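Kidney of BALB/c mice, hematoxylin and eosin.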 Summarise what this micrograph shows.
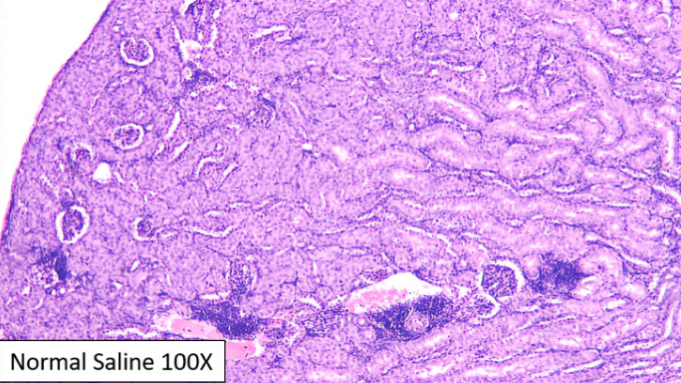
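Renal cortex with glomeruli and closely packed tubules, stained pink with purple nuclei. Several dense, dark purple aggregates of small round nuclei lie in the interstitium, gathered along a blood vessel filled with pink erythrocytes. Glomeruli appear as rounded purple tufts within clear spaces, scattered toward the outer edge. The tubules, with pink cytoplasm, run in long wavy profiles across much of the field. The aggregates lie outside the glomeruli and between the tubules.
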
